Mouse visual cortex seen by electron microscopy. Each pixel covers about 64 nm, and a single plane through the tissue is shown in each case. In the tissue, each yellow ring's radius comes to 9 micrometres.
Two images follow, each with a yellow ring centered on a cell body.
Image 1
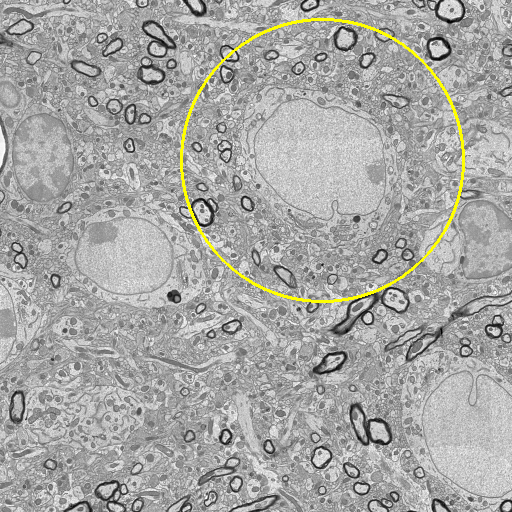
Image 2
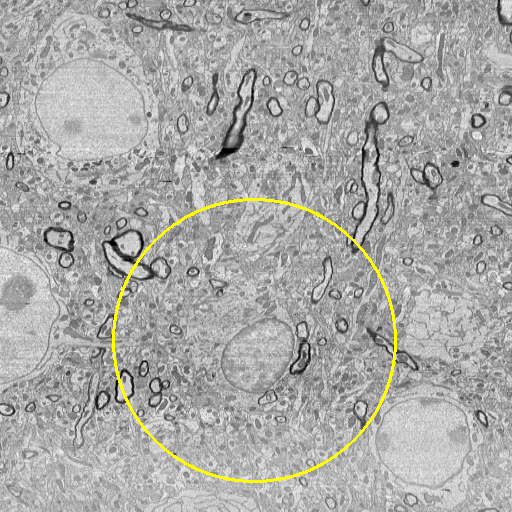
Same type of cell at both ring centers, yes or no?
no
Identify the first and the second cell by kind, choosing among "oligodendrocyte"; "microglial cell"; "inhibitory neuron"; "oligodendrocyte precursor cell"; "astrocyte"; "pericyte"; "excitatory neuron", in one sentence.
The one in the first picture is an excitatory neuron, while the one in the second is an oligodendrocyte.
